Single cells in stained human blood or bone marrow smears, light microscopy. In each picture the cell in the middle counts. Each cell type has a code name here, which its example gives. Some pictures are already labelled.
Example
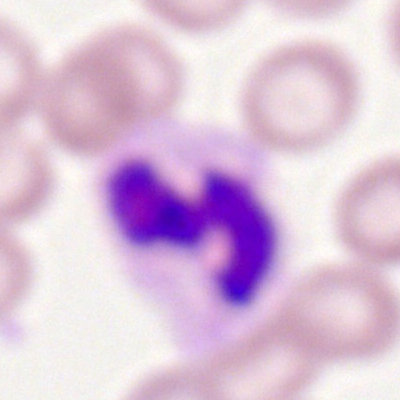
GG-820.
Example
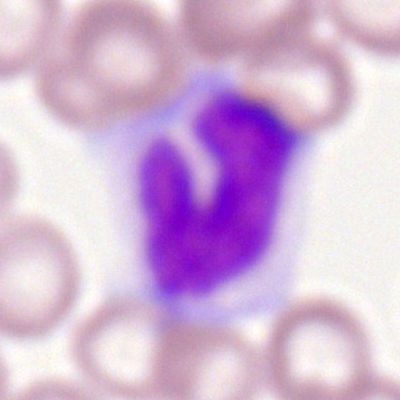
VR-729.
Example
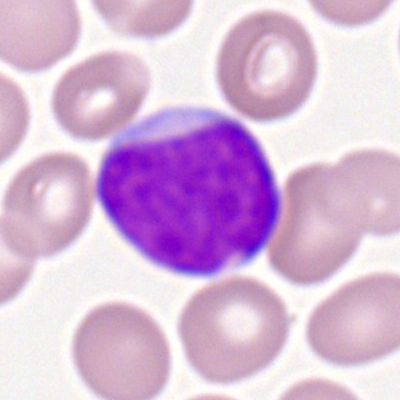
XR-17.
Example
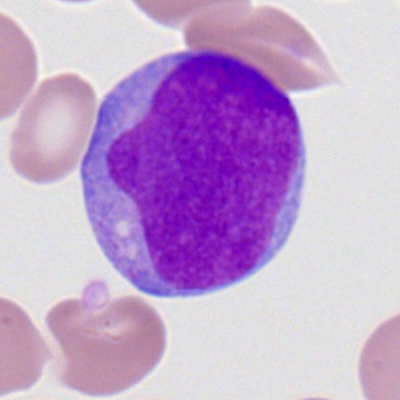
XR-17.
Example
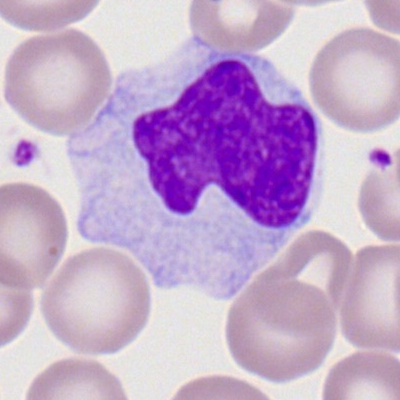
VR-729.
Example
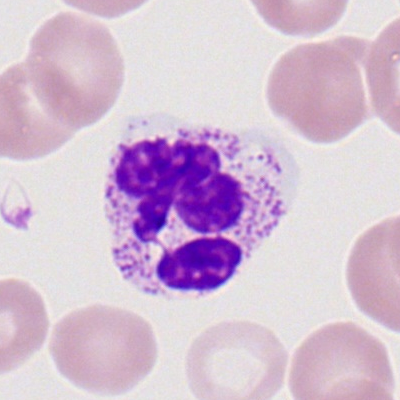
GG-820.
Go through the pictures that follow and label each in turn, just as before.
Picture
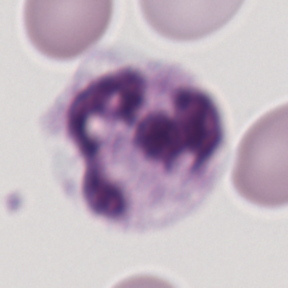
GG-820.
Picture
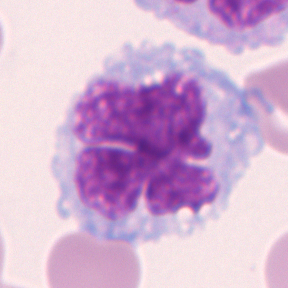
VR-729.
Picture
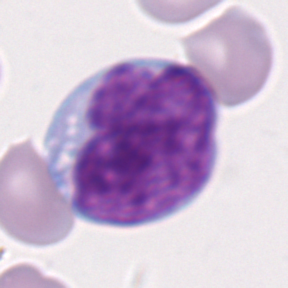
XR-17.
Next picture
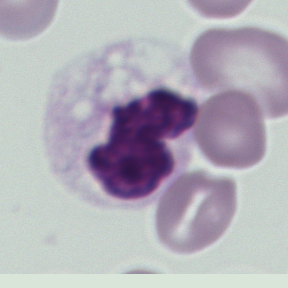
GG-820.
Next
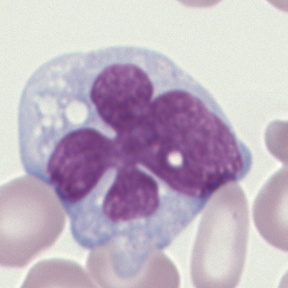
VR-729.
